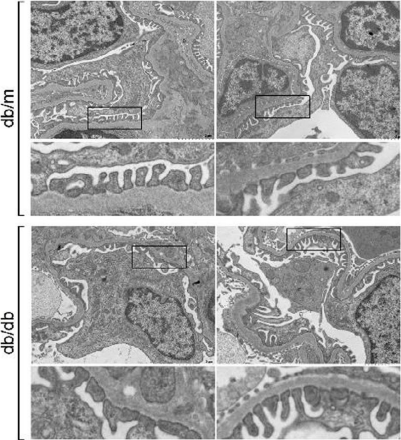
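Transmission electron micrographs show parts of the glomerulus, each with an enlarged strip of the boxed capillary wall below it. Large cell nuclei with patchy chromatin lie beside capillary walls and pale open lumens. In the enlarged strips, these processes sit as a row of small, separate feet in some images and appear broader and less regular in others.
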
